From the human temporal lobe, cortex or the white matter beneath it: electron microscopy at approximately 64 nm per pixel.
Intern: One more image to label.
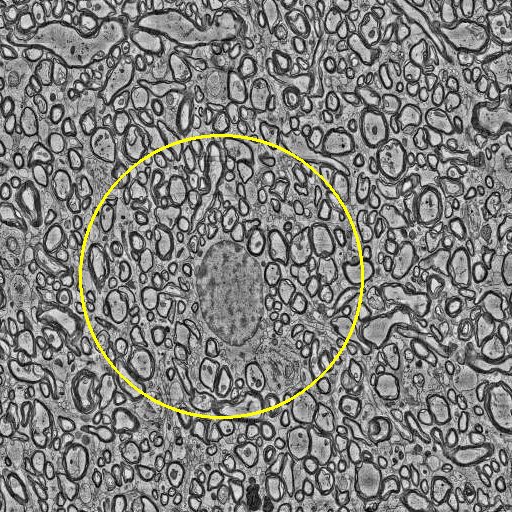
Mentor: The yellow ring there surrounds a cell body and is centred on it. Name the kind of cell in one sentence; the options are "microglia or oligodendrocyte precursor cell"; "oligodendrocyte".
The ring marks the cell body of an oligodendrocyte.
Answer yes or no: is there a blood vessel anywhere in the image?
No.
